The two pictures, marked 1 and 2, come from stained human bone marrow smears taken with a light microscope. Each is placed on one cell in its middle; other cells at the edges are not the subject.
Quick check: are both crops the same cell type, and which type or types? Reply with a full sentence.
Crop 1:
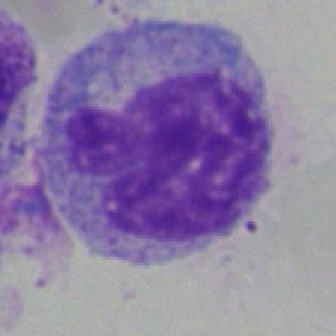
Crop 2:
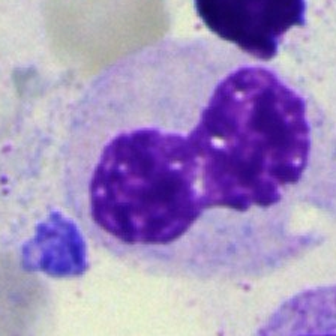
No, crop 1 captures a monocyte; meanwhile crop 2 captures a band neutrophil.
